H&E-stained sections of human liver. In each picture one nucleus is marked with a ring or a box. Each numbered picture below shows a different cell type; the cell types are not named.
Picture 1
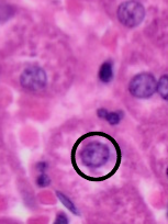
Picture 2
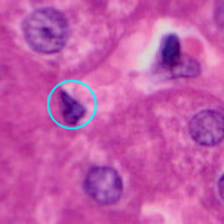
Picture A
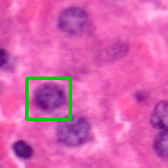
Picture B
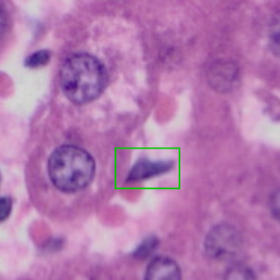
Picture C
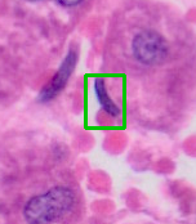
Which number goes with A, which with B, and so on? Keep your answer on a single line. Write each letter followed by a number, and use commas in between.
A 1, B 2, C 2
